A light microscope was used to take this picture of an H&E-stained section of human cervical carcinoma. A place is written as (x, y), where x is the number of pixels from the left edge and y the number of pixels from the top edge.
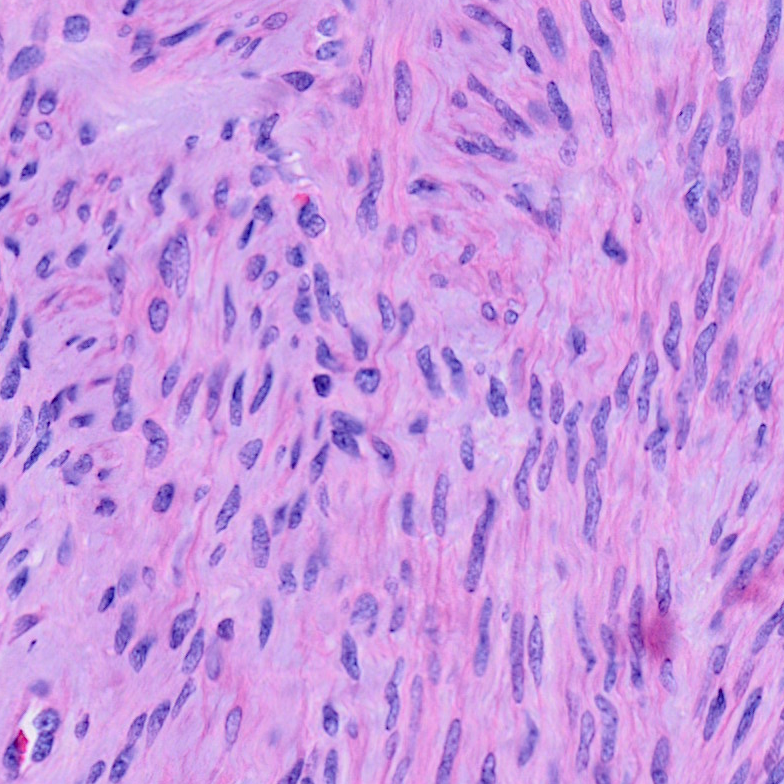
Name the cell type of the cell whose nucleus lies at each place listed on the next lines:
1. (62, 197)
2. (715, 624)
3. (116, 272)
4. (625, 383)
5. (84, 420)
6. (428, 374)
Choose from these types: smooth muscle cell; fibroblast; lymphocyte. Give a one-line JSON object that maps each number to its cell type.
{"1": "smooth muscle cell", "2": "smooth muscle cell", "3": "smooth muscle cell", "4": "smooth muscle cell", "5": "fibroblast", "6": "fibroblast"}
